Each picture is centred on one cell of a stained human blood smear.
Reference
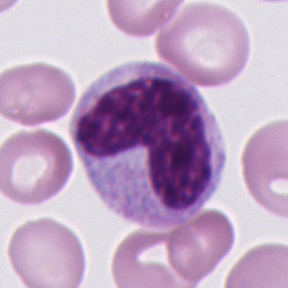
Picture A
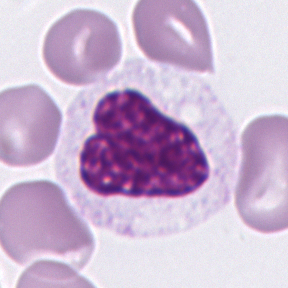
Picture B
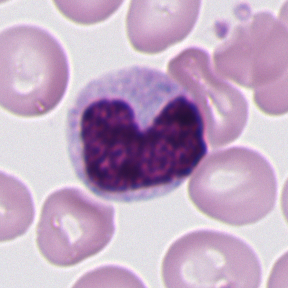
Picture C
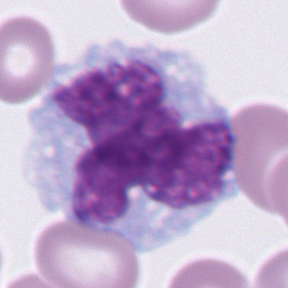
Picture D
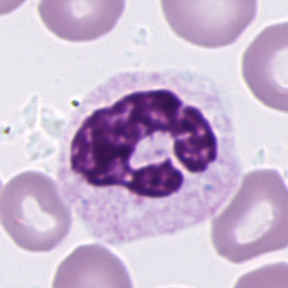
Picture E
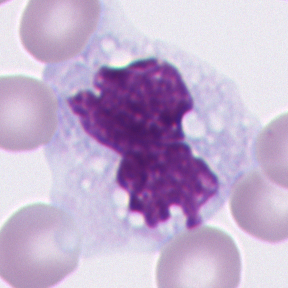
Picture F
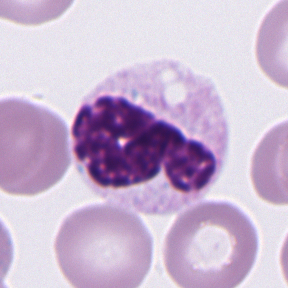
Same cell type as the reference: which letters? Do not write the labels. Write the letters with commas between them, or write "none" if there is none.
A, B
